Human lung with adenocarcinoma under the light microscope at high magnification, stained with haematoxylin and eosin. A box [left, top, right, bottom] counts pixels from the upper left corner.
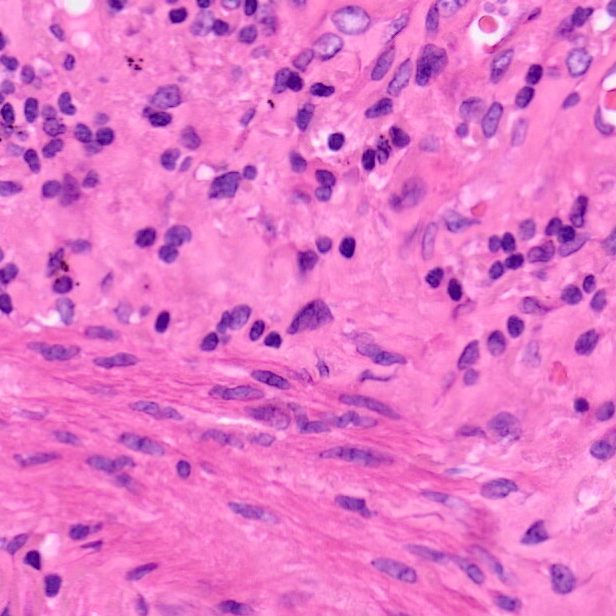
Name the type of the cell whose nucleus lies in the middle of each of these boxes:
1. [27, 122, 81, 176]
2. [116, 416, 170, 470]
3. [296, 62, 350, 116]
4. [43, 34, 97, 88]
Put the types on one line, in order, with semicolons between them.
lymphocyte; smooth muscle cell or pericyte; lymphocyte; lymphocyte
